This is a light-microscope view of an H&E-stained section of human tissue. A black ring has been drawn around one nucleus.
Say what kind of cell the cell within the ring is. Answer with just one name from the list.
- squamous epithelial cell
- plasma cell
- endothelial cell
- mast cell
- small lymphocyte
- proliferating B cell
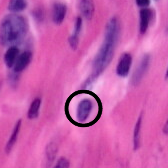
mast cell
